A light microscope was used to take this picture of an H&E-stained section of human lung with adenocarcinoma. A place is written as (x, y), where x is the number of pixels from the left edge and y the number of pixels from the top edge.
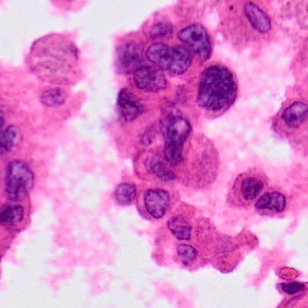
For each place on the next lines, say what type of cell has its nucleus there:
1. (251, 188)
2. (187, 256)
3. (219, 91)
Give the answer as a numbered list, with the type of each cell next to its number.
1. macrophage or monocyte
2. macrophage or monocyte
3. carcinoma cell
